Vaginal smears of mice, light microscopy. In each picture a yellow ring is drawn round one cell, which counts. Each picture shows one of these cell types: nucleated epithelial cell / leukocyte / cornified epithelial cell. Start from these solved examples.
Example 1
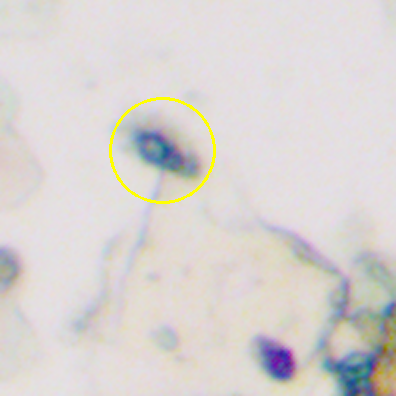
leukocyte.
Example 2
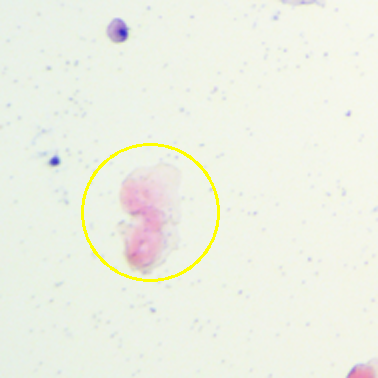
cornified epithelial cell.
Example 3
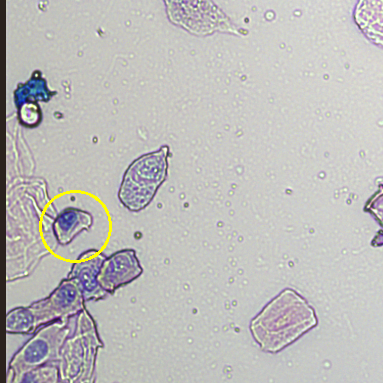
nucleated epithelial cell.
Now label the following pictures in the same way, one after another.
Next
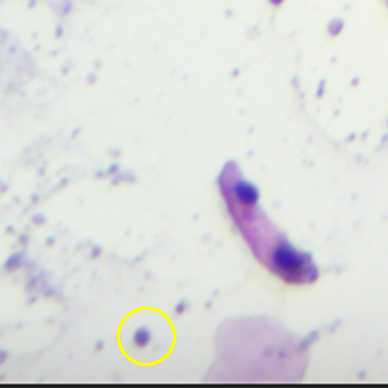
leukocyte.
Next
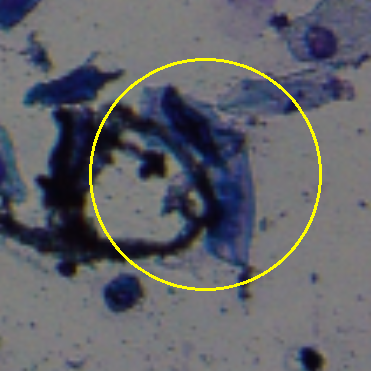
cornified epithelial cell.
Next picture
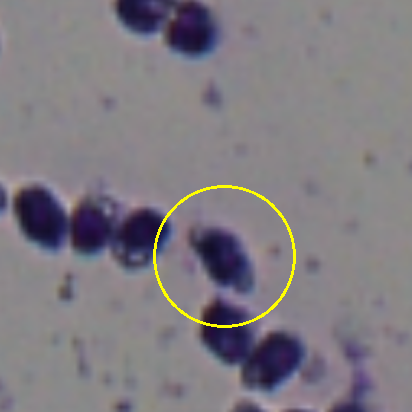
leukocyte.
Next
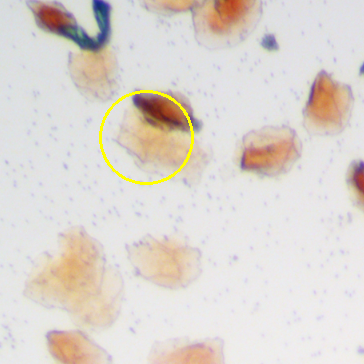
cornified epithelial cell.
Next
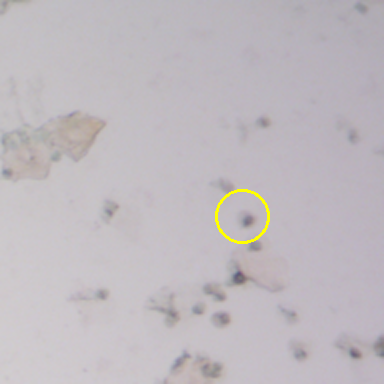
leukocyte.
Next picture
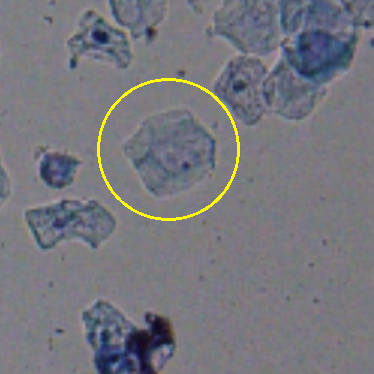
cornified epithelial cell.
